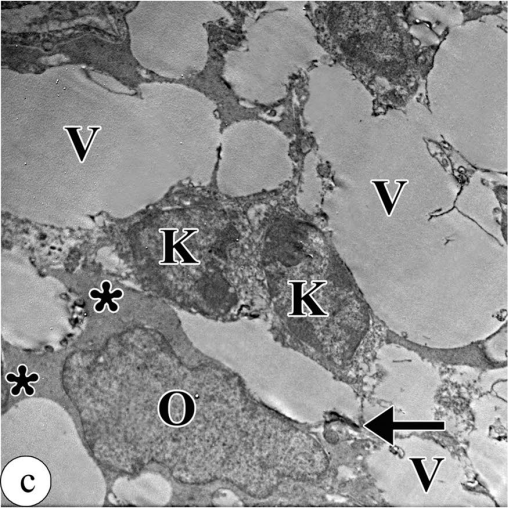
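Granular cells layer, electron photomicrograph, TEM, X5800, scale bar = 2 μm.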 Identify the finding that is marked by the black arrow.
Degenerated myelinated nerve axon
